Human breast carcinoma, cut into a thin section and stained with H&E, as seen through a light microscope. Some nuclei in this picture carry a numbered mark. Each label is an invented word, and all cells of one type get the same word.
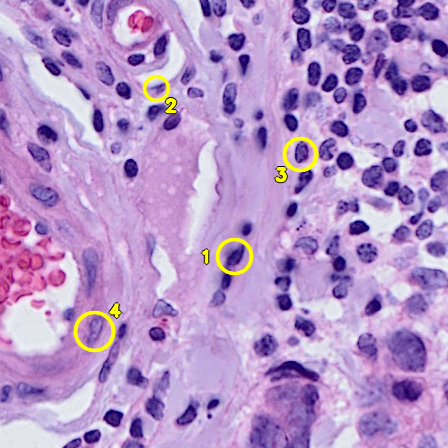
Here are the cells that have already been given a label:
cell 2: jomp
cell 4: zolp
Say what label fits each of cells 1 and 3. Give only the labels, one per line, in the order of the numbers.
jomp
jomp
